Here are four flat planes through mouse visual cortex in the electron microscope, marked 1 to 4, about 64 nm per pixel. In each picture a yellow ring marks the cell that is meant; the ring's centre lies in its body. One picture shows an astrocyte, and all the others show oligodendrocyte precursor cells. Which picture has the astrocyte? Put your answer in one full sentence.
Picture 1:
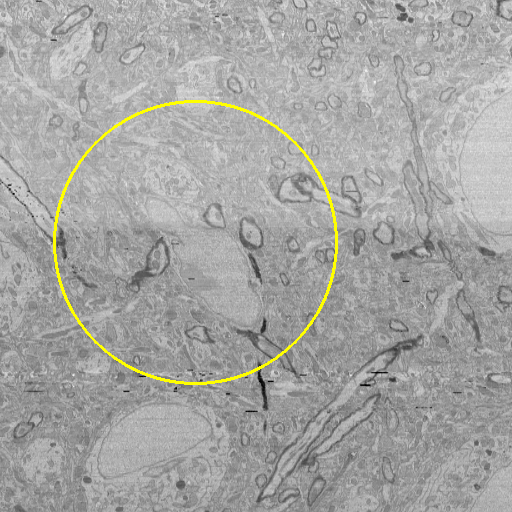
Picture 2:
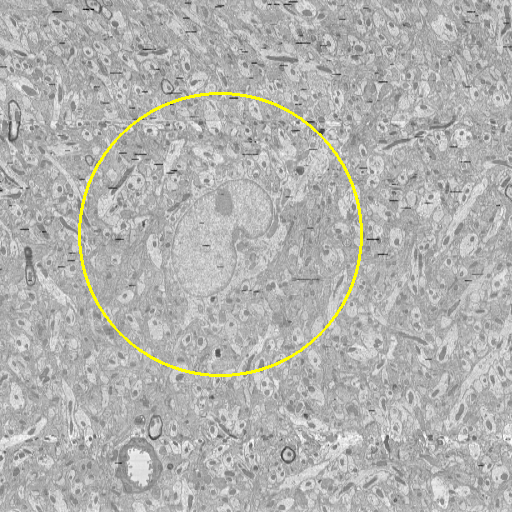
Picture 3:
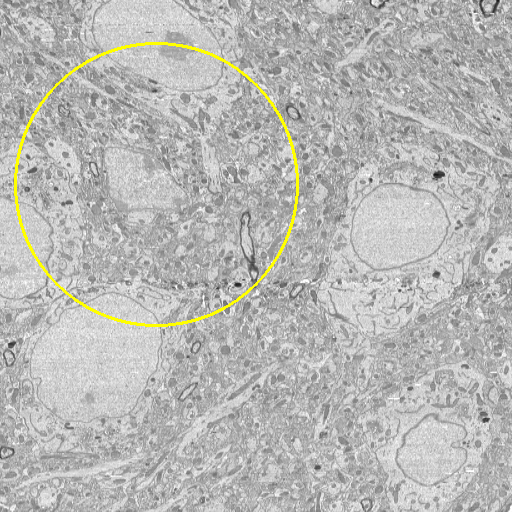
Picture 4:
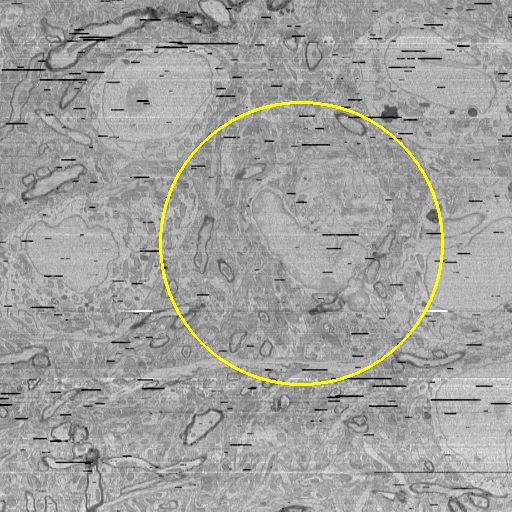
Picture 2 is the one that shows the astrocyte.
